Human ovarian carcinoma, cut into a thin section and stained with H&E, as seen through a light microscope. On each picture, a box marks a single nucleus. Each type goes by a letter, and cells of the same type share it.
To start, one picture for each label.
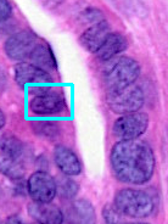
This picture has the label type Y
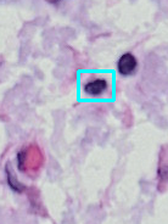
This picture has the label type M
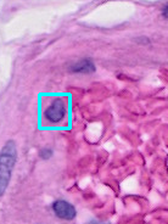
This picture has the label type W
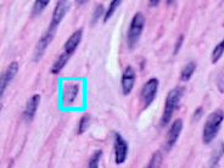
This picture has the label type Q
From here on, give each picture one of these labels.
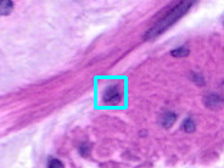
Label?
type Q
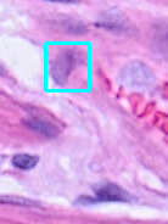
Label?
type W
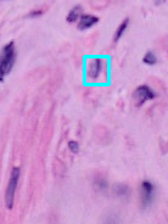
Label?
type Q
